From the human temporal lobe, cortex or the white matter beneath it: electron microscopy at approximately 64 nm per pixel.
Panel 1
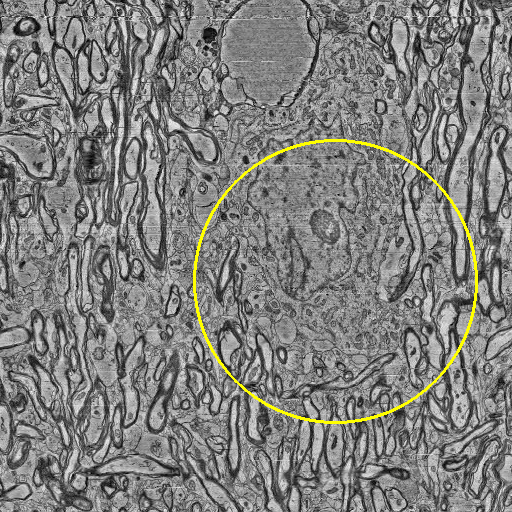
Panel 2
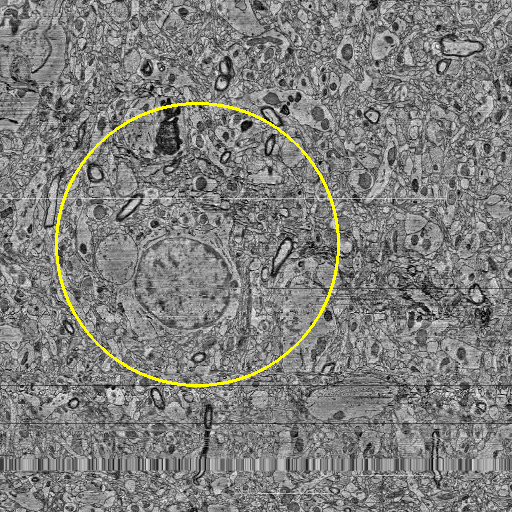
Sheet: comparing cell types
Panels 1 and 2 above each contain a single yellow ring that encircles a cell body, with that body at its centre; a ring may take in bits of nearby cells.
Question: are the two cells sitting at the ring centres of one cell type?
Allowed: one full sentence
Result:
No, the ring-centre cells in Panel 1 and Panel 2 are of two types.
